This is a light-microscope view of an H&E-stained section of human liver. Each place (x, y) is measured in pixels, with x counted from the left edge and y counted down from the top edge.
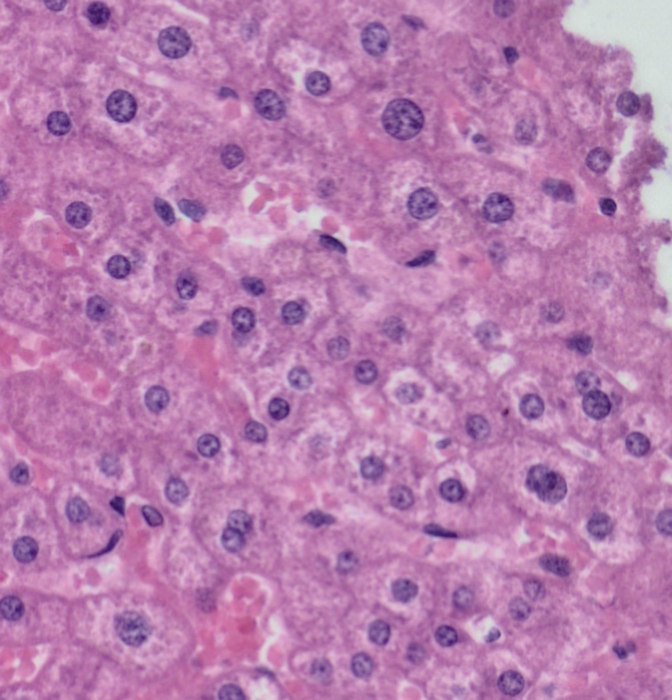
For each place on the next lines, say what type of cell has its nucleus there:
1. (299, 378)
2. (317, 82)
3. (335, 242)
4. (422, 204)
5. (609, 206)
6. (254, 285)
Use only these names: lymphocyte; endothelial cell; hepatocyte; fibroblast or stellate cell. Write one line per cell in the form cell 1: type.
cell 1: hepatocyte
cell 2: hepatocyte
cell 3: endothelial cell
cell 4: hepatocyte
cell 5: lymphocyte
cell 6: fibroblast or stellate cell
